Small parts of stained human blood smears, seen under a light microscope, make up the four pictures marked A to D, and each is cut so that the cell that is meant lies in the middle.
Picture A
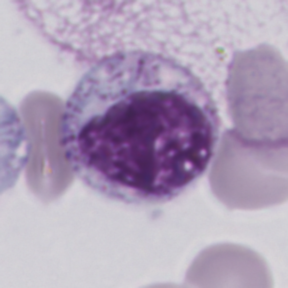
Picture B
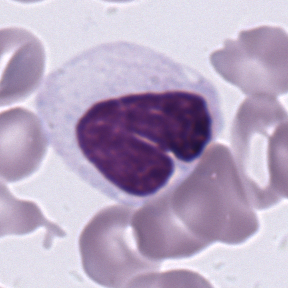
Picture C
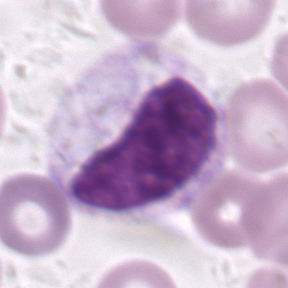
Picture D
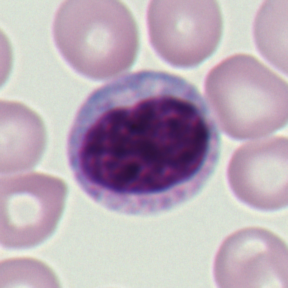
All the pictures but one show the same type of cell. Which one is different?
B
